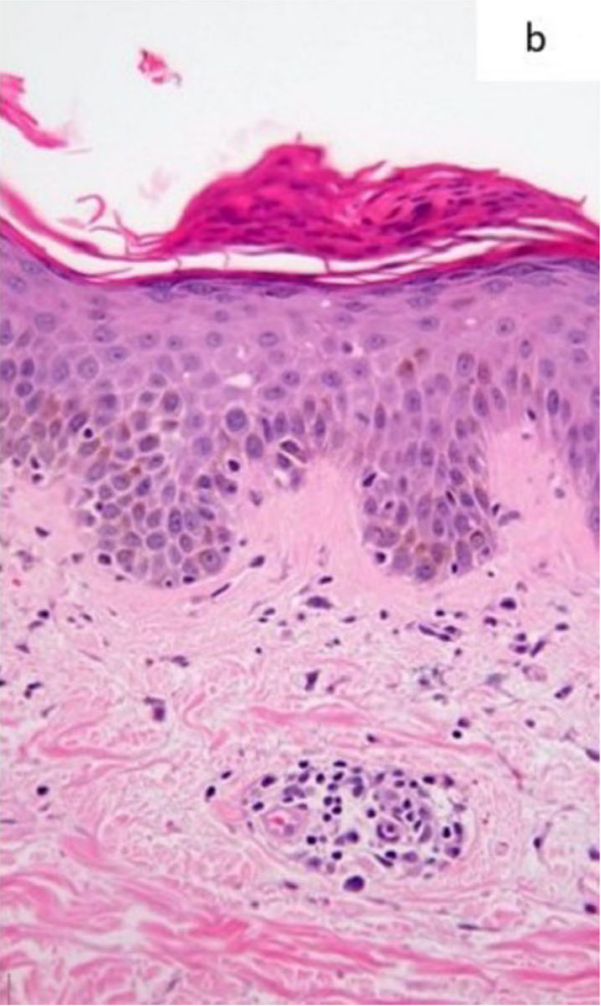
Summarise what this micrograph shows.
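This is skin with a thickened stratified squamous epidermis over a collagenous dermis. On the surface, the cornified layer is thick and compact in one area, and small dark nuclei are retained within it, which is focal parakeratosis. Deeper in the dermis a small vessel is surrounded by a cluster of small round cells with dark nuclei, a perivascular lymphocytic infiltrate.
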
